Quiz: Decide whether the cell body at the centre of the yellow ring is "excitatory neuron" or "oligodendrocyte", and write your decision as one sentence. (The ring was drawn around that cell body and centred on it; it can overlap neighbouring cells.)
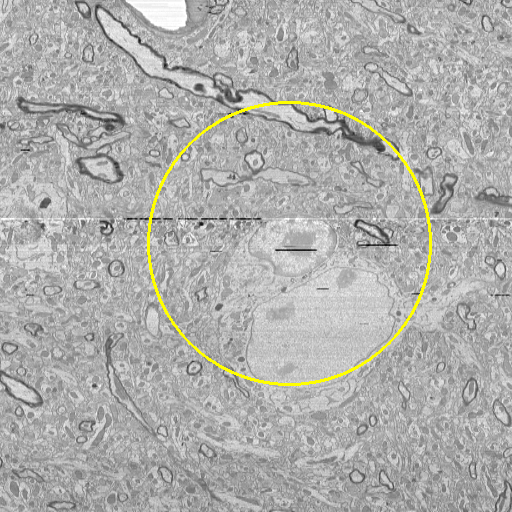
The cell the ring is centred on is an oligodendrocyte.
